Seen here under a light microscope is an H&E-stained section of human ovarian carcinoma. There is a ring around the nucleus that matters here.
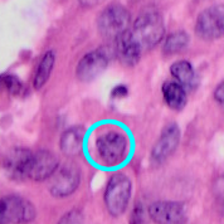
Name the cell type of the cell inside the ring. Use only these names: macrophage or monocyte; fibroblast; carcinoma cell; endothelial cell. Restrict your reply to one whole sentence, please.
Microscopically, the cell inside the ring is categorized as a macrophage or monocyte.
